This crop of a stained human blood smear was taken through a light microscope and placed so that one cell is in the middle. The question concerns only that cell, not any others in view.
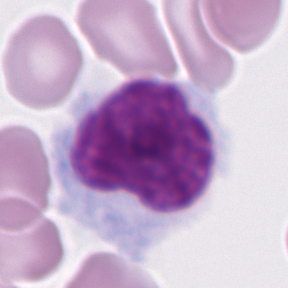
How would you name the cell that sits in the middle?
hairy cell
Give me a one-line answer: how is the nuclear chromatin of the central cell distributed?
The chromatin shows a fine pattern without coarse clumps.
